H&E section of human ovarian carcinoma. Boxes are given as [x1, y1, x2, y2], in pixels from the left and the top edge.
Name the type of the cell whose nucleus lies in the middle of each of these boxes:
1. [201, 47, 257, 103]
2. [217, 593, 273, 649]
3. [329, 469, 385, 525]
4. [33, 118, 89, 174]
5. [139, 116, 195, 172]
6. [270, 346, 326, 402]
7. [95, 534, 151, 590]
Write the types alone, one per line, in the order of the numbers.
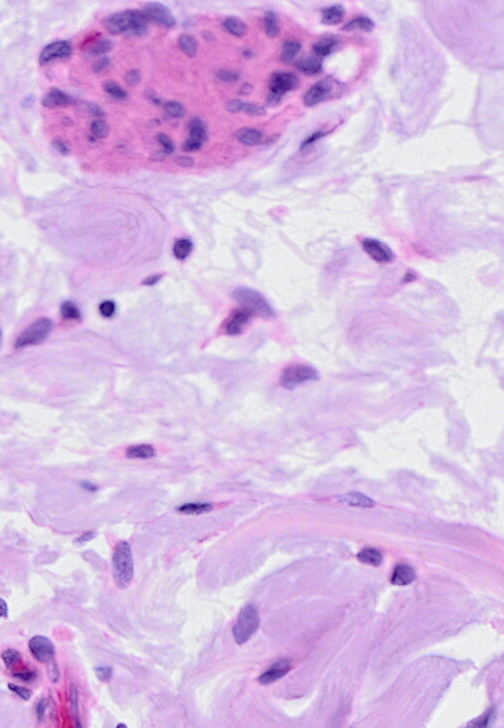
smooth muscle cell
fibroblast
fibroblast
smooth muscle cell
smooth muscle cell
fibroblast
fibroblast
